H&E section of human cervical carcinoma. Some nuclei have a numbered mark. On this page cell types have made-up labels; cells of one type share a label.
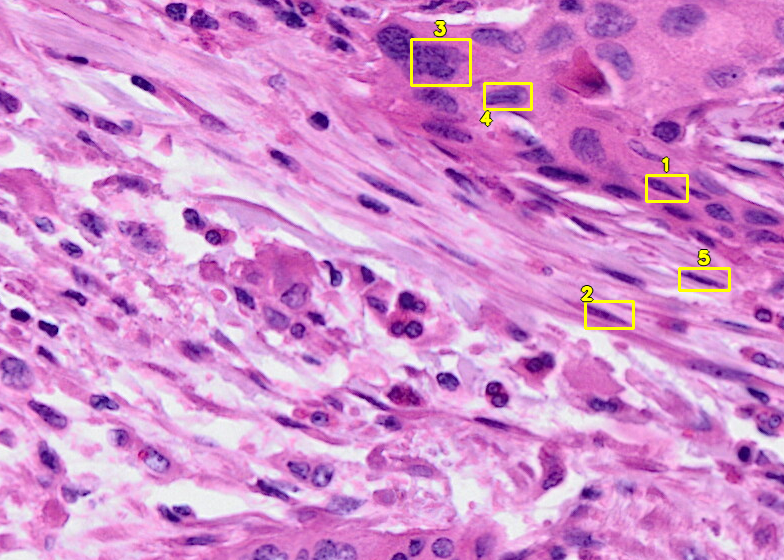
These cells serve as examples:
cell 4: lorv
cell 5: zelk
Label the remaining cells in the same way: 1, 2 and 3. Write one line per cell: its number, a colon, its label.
1: lorv
2: zelk
3: lorv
